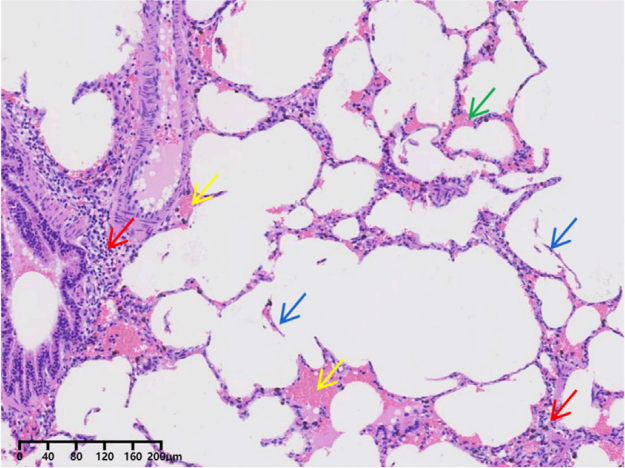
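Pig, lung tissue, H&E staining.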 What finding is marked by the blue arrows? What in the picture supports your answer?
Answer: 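The arrows point to broken, free-floating wall fragments inside enlarged airspaces. On this evidence: alveolar rupture.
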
